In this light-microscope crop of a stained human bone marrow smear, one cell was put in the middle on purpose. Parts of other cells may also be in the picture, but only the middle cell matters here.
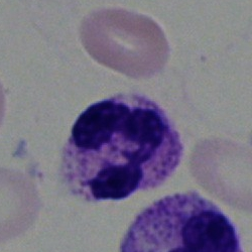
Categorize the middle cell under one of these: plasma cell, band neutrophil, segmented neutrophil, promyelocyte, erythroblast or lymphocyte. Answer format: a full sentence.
As for the cell in the middle, it is a segmented neutrophil.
